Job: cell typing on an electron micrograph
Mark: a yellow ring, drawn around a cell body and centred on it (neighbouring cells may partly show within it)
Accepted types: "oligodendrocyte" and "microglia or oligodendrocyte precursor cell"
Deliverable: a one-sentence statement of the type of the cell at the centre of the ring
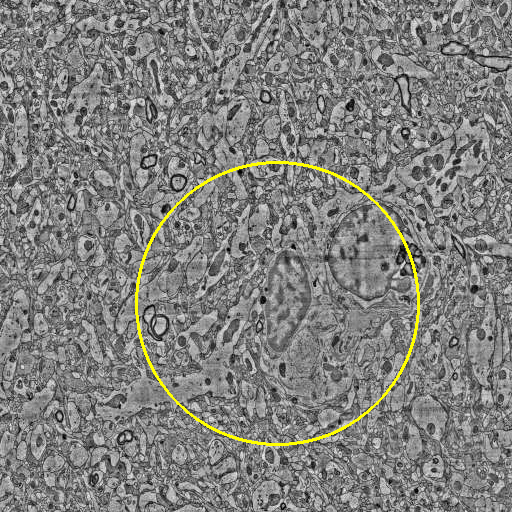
The centred cell body is that of a microglial cell or oligodendrocyte precursor cell.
